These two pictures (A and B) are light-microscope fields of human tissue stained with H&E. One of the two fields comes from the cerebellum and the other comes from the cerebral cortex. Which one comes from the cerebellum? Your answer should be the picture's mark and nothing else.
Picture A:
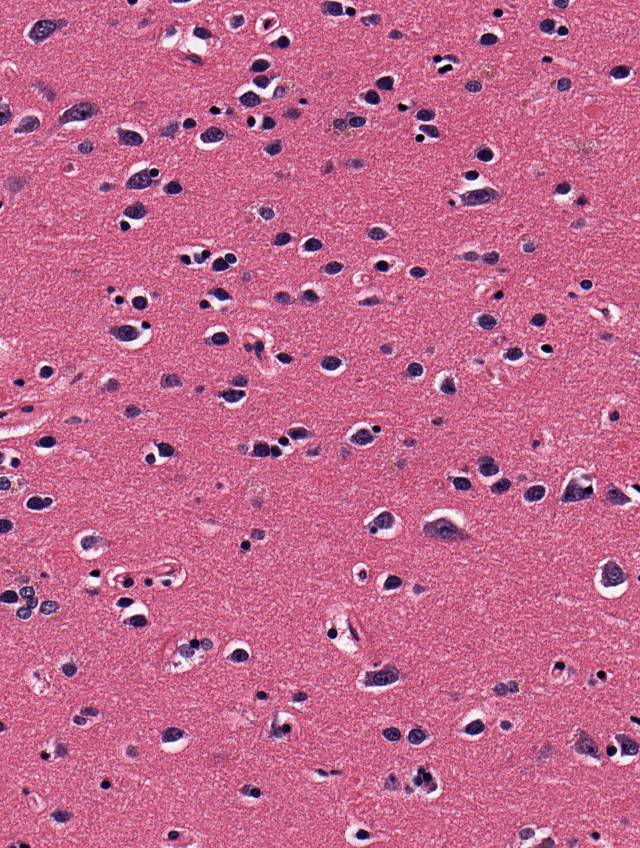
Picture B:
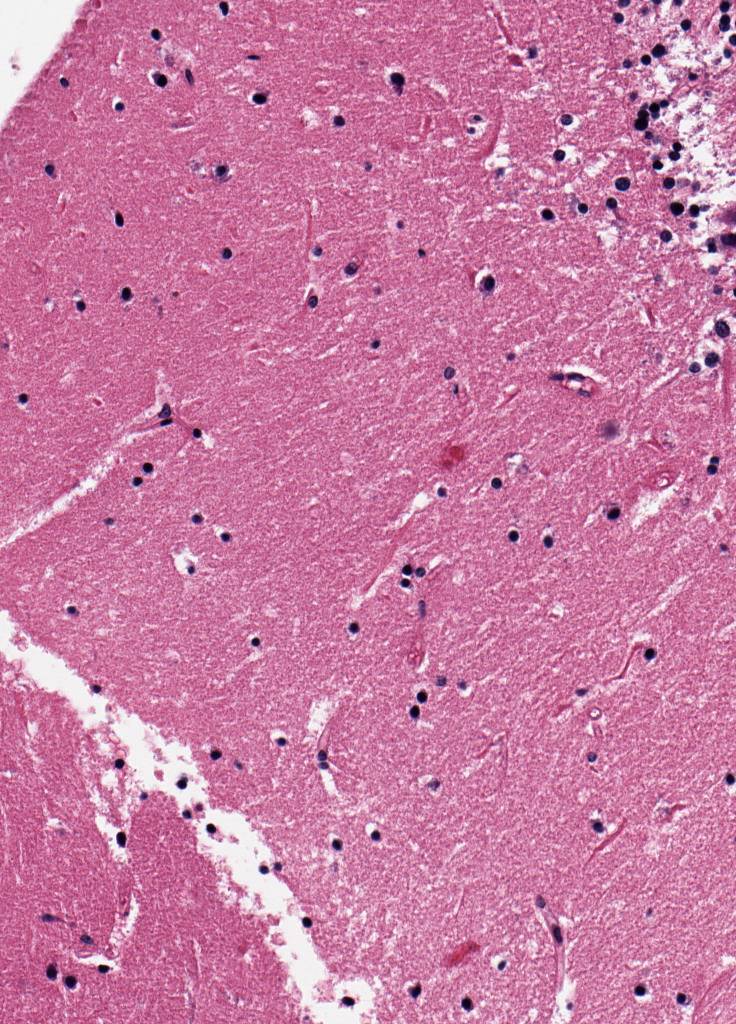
B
